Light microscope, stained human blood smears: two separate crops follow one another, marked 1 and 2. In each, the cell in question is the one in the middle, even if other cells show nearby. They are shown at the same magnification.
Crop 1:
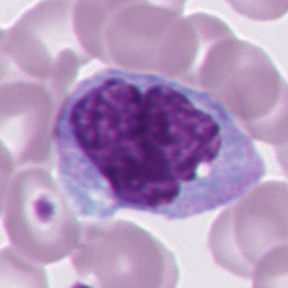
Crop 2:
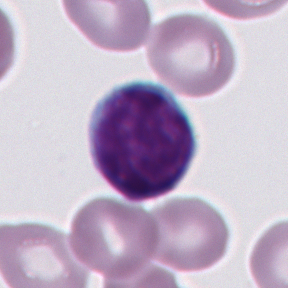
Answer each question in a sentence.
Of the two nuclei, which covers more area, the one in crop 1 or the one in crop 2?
Crop 1 shows the larger nucleus; it covers about 1.5 times the area of the nucleus in crop 2.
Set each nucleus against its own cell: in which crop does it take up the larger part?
Of the two, the nucleus in crop 2 makes up the greater part of its cell.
